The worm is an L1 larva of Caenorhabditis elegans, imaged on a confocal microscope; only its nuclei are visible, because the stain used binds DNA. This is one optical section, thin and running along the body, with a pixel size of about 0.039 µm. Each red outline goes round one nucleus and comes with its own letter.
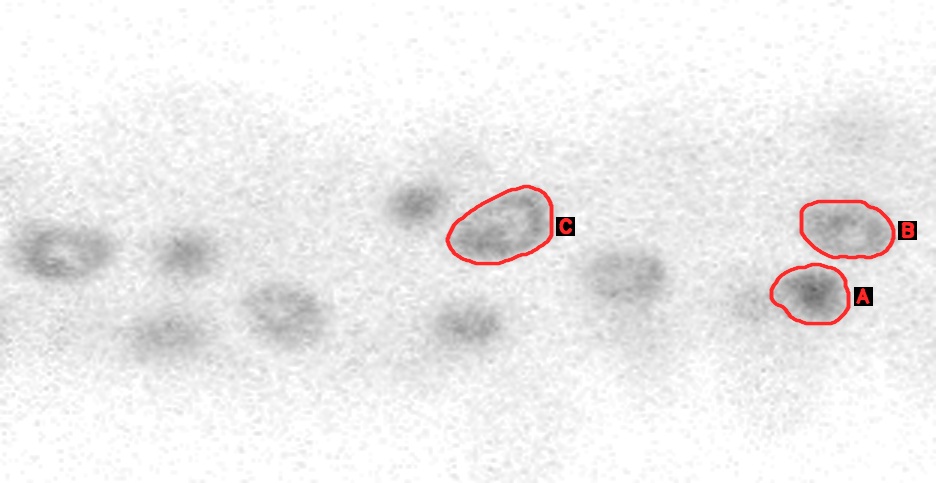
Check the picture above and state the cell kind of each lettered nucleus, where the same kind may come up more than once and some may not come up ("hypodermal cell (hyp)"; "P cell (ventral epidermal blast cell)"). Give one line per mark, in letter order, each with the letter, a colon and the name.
A: P cell (ventral epidermal blast cell)
B: hypodermal cell (hyp)
C: hypodermal cell (hyp)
